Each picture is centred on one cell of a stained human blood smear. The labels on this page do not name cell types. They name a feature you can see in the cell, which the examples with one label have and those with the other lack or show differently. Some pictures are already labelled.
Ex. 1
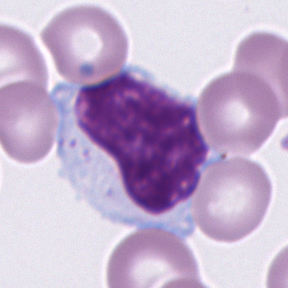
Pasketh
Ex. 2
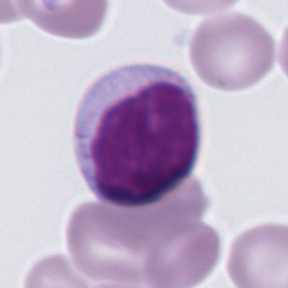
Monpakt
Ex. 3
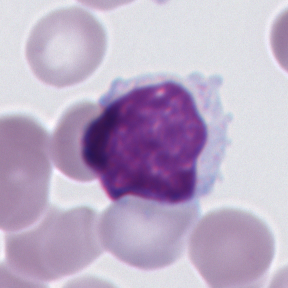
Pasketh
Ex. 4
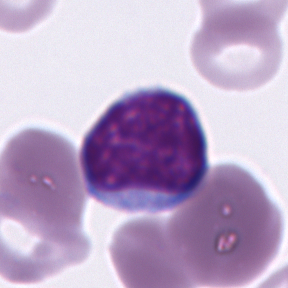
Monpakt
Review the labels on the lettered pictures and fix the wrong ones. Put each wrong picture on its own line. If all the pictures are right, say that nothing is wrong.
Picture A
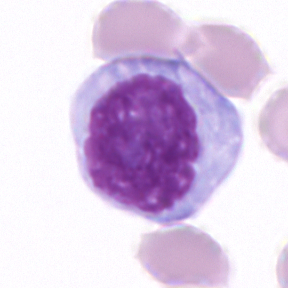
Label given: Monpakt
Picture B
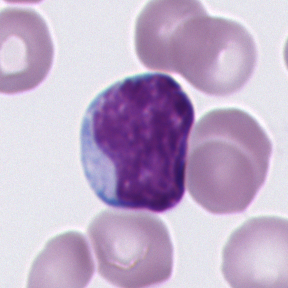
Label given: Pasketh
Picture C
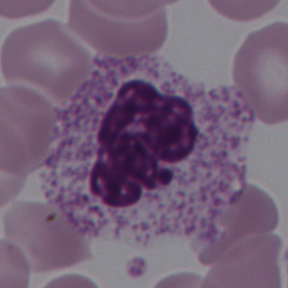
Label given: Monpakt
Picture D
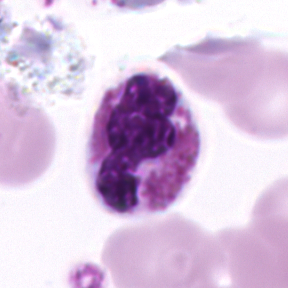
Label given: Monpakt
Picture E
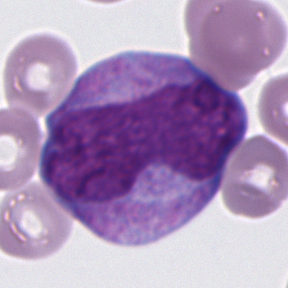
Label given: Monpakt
B should be Monpakt, not Pasketh
C should be Pasketh, not Monpakt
